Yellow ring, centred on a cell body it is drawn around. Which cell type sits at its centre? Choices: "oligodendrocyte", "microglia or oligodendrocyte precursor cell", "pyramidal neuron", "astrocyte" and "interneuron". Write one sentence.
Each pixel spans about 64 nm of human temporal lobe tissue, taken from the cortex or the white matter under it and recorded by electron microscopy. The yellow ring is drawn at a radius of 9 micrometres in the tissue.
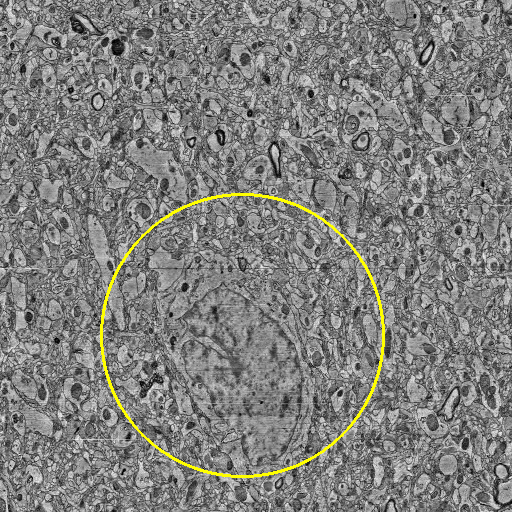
At the centre of the ring sits an interneuron.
